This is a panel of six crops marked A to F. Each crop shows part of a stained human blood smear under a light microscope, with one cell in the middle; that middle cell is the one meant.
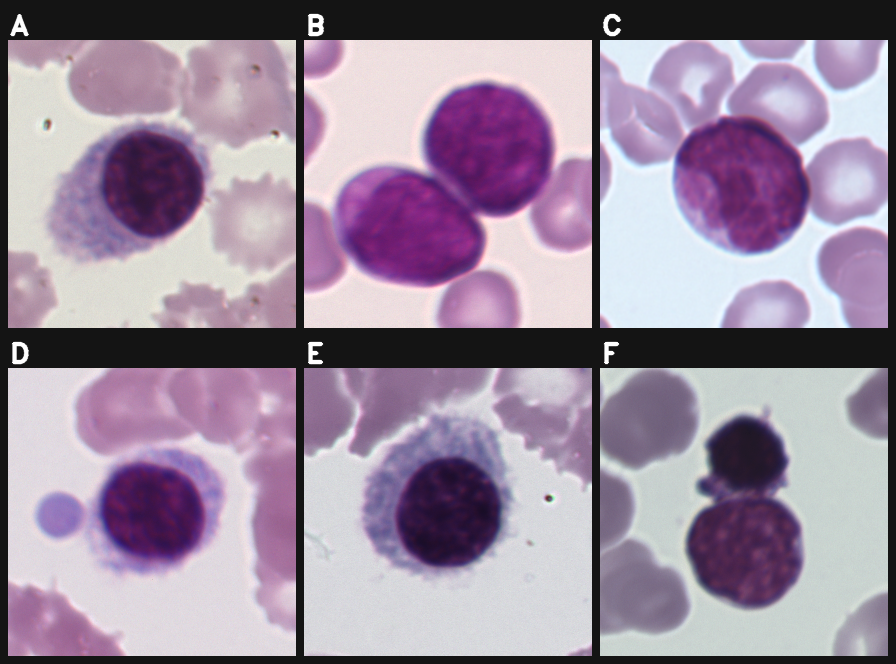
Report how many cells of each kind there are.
hairy cell: 3
myeloblast: 3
